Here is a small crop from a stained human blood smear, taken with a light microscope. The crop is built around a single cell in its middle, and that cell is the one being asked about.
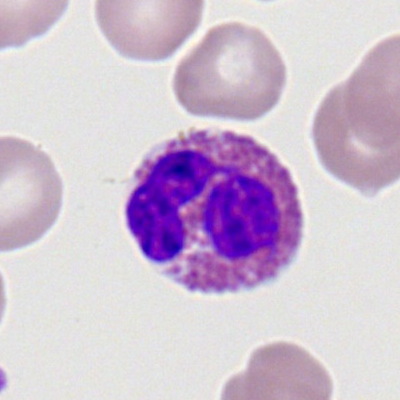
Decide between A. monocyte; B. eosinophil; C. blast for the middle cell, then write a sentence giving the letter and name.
The cell centred in the crop is an eosinophil, and the correct option is thus B.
